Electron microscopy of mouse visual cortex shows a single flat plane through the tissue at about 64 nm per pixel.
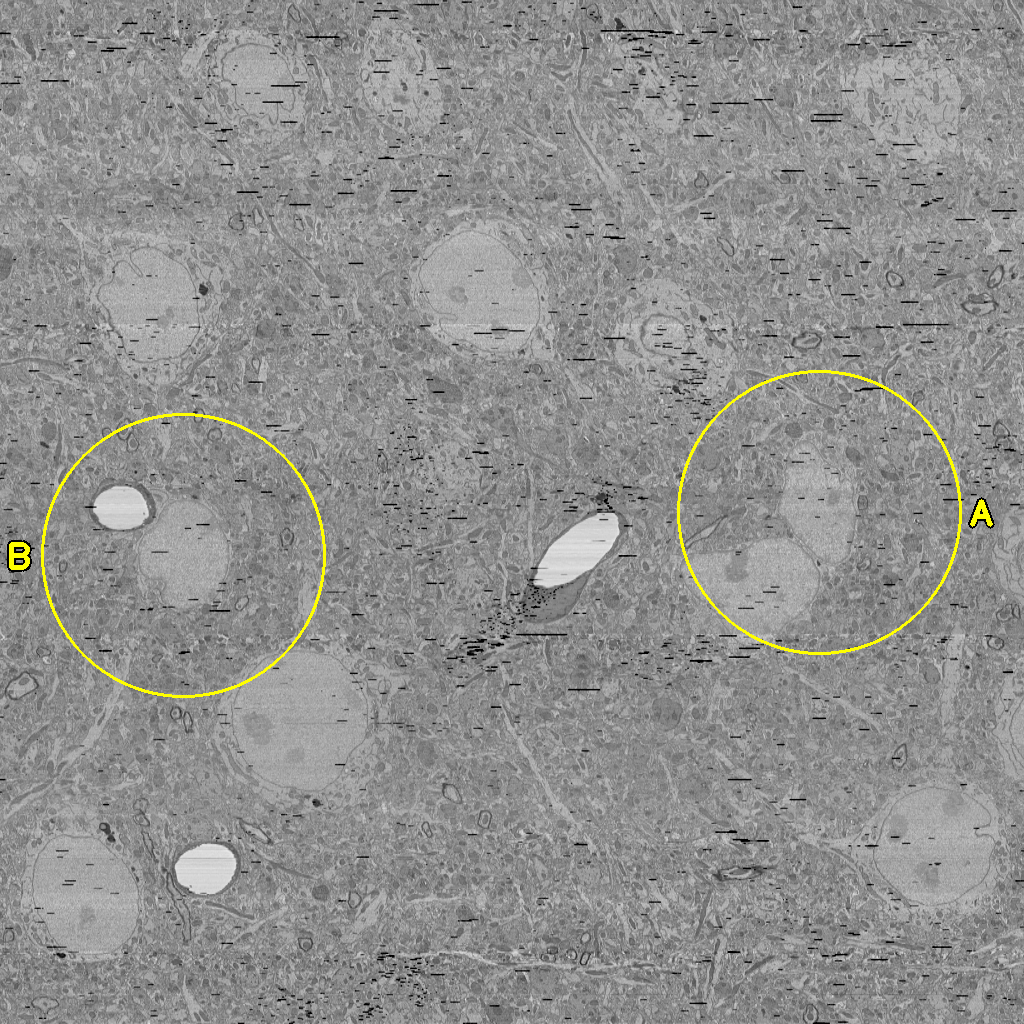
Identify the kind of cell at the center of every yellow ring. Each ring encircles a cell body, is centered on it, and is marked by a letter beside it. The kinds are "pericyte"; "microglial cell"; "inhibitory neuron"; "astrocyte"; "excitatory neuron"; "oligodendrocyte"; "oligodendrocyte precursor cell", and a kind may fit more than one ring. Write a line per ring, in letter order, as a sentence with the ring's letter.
The cell centered in ring A is an astrocyte.
The cell centered in ring B is an astrocyte.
